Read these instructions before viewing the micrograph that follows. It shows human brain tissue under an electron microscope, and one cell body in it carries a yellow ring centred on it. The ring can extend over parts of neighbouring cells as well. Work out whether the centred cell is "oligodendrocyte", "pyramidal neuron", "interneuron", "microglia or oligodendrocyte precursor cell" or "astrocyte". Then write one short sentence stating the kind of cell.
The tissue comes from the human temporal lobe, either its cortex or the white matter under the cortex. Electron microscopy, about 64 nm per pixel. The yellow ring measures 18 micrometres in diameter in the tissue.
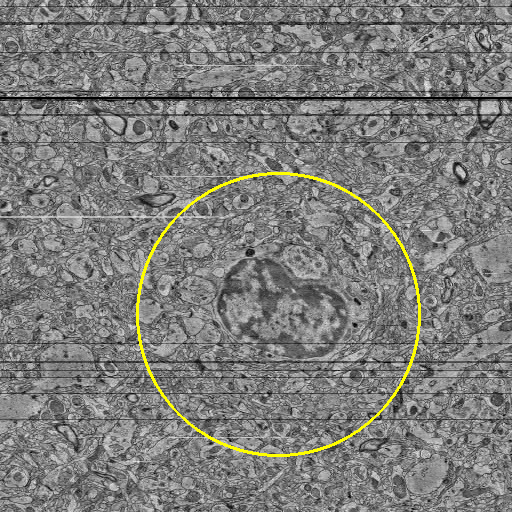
The ringed cell is a microglial cell or oligodendrocyte precursor cell.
